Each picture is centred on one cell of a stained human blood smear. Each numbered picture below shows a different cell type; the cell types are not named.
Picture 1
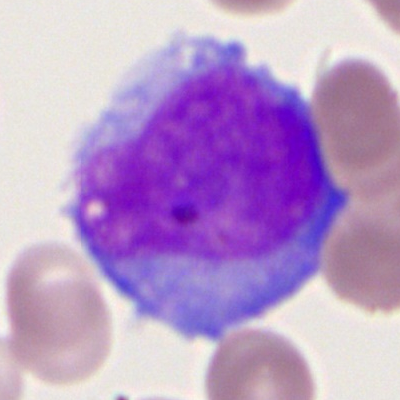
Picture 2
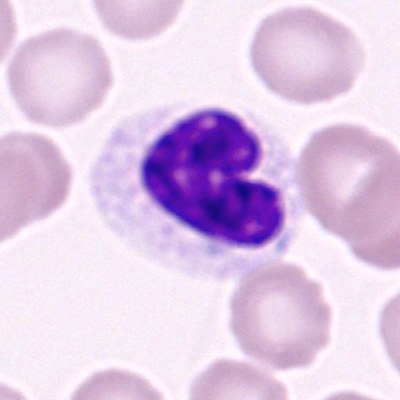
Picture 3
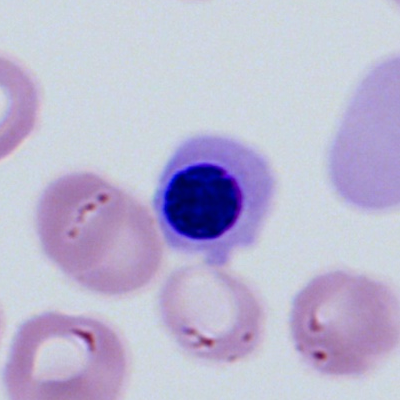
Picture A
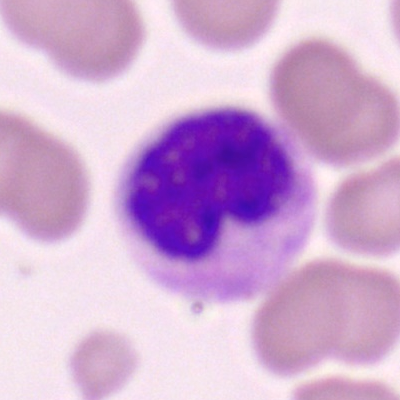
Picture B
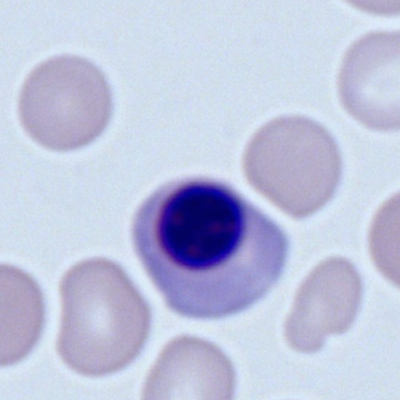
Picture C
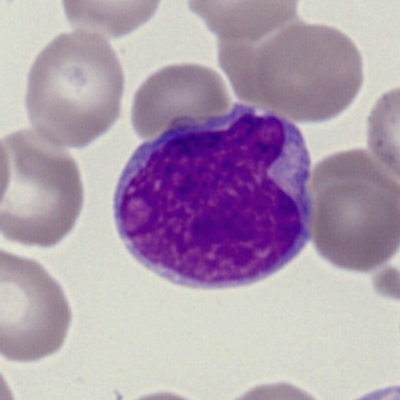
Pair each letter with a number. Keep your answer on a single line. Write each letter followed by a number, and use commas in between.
A 2, B 3, C 1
